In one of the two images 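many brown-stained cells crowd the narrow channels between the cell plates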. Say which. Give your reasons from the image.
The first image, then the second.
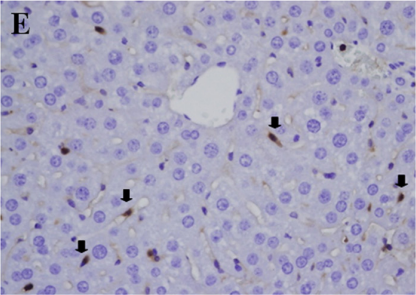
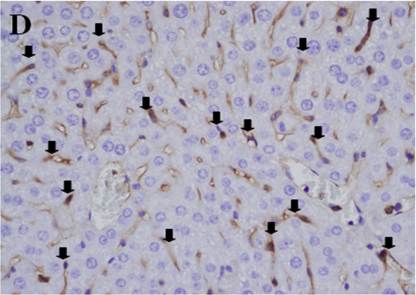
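First image: only a handful of scattered brown cells are present. Second image: numerous brown, elongated cells are spread throughout the channels across the field.
Conclusion: the second image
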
